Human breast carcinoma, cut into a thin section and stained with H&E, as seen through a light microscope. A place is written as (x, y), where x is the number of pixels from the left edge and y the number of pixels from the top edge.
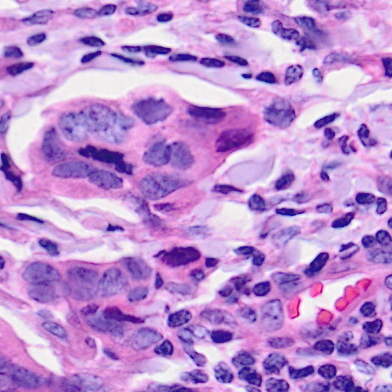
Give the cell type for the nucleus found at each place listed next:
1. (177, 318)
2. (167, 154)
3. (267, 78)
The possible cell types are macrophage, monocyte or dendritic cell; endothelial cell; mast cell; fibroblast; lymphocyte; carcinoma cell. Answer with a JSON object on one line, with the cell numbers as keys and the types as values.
{"1": "lymphocyte", "2": "carcinoma cell", "3": "lymphocyte"}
